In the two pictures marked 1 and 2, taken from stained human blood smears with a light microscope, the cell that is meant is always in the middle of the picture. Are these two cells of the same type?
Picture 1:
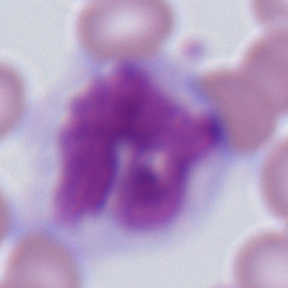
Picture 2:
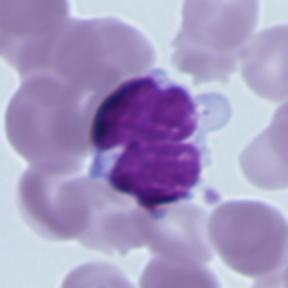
no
